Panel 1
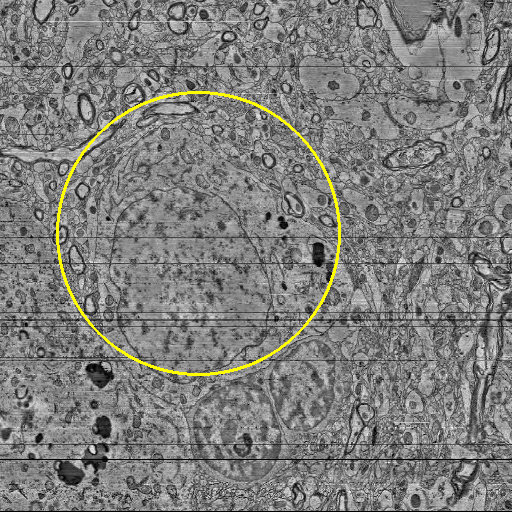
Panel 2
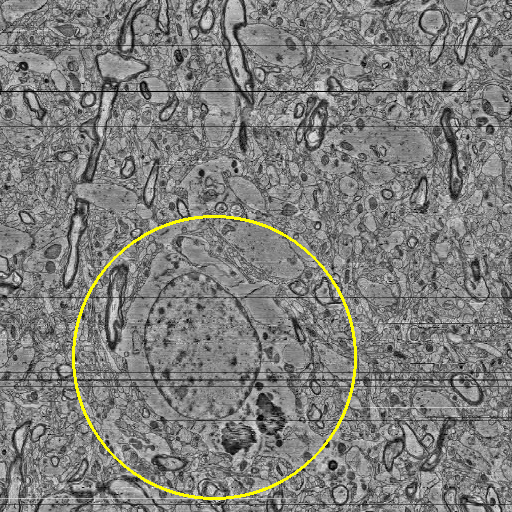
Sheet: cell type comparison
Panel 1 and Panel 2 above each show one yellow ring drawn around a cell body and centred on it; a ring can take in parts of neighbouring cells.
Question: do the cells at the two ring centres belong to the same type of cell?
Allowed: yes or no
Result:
no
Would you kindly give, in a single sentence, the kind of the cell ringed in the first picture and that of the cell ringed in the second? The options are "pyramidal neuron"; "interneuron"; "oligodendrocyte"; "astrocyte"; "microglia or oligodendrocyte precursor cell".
The second cell is an astrocyte, and the first cell is a pyramidal neuron.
